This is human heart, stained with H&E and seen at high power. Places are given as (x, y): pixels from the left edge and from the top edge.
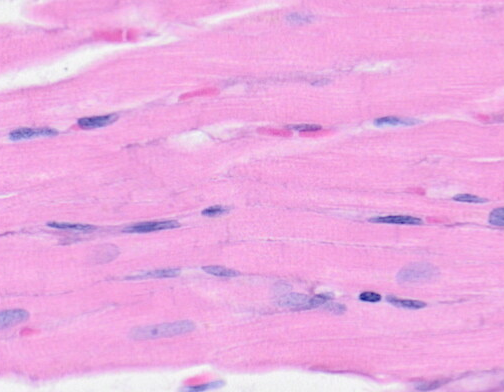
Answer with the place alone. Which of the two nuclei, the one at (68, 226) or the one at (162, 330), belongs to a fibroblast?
(68, 226)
